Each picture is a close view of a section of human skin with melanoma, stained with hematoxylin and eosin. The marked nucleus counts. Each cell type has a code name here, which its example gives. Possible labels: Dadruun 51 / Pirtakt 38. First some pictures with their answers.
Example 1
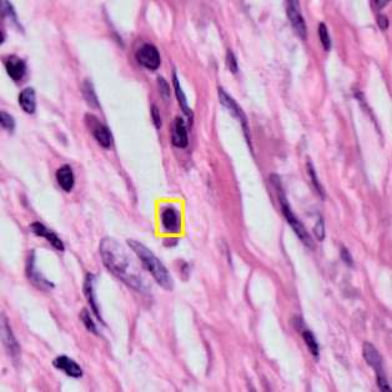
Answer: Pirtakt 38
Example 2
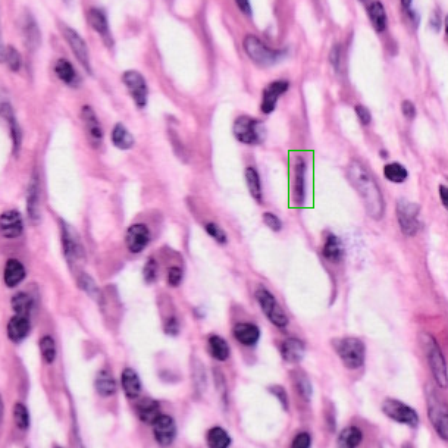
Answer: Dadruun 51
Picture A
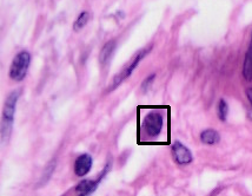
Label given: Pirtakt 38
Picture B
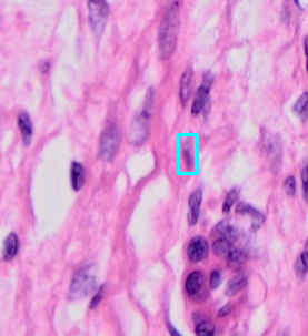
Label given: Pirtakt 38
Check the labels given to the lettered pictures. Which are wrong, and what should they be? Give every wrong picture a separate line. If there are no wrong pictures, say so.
B: Dadruun 51, not Pirtakt 38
